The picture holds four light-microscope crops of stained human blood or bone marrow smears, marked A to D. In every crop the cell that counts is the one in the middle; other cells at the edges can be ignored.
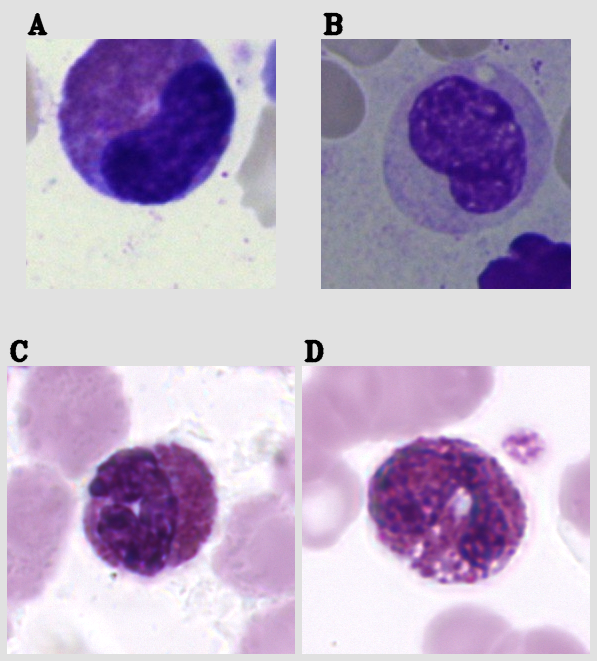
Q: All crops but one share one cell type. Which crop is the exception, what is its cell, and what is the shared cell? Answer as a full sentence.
Where the others show eosinophils, crop B shows a metamyelocyte.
